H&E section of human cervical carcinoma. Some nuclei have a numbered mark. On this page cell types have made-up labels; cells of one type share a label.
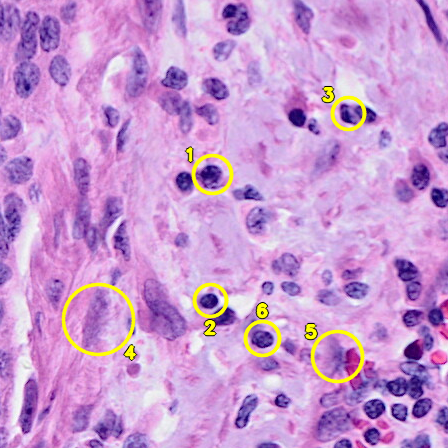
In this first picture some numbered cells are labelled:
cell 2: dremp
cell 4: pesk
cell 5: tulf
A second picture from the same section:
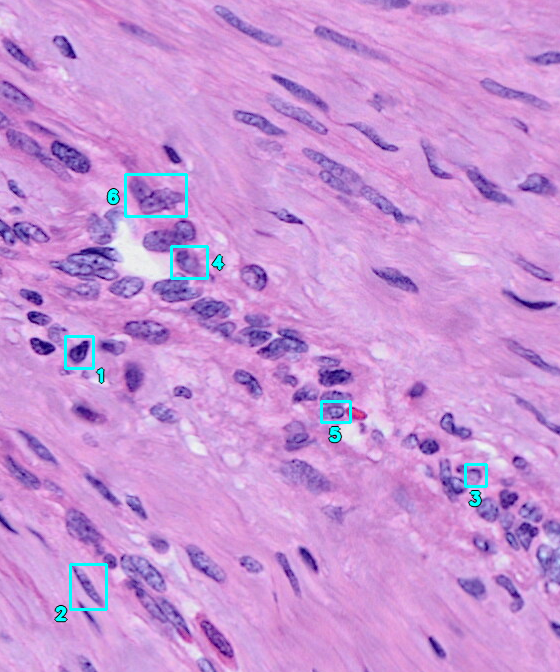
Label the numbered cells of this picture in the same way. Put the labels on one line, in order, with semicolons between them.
dremp; pesk; tulf; tulf; tulf; tulf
